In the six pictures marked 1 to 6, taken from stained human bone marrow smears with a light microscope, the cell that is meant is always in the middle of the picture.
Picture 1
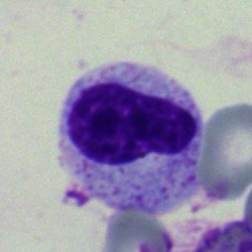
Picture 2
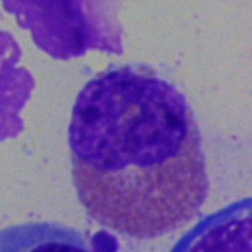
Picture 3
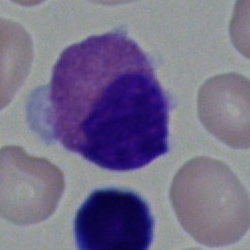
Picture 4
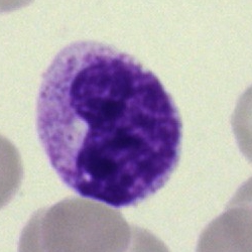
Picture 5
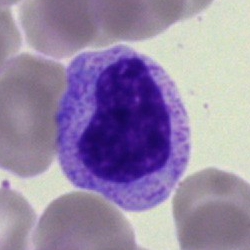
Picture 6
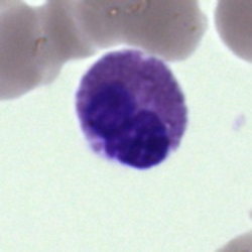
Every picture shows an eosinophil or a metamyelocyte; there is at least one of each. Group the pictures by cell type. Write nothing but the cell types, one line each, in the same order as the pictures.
metamyelocyte
eosinophil
eosinophil
metamyelocyte
metamyelocyte
eosinophil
